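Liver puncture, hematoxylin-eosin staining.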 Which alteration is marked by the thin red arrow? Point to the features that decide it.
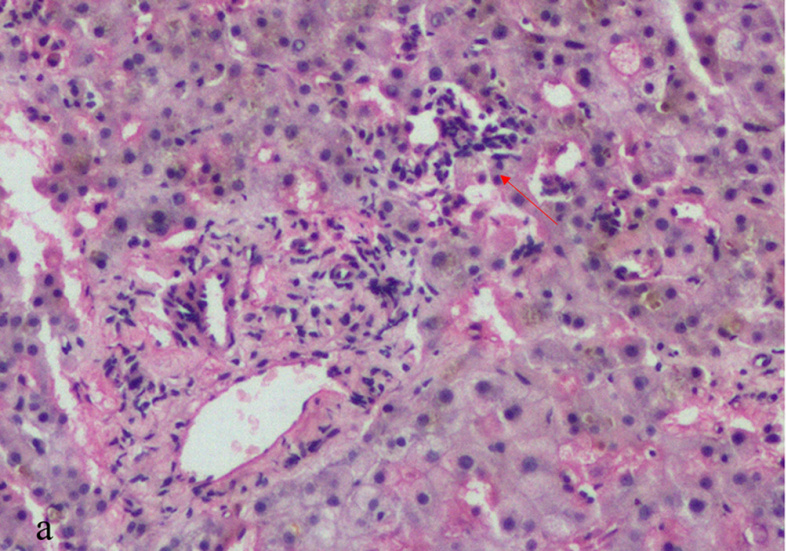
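A dense cluster of small, dark, round-to-elongated nuclei lies among the hepatocyte plates. The cluster sits within the parenchyma, next to a portal area. So: lobular inflammation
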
